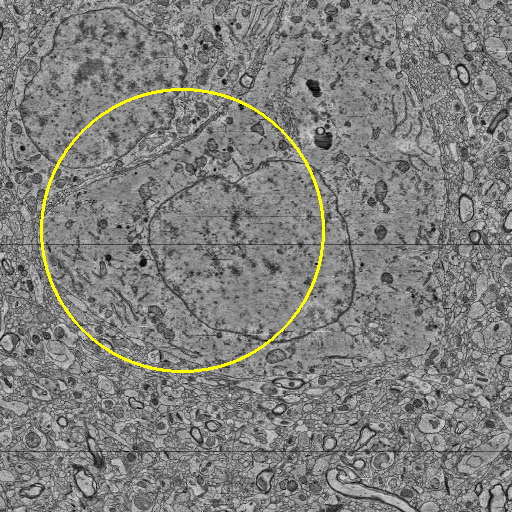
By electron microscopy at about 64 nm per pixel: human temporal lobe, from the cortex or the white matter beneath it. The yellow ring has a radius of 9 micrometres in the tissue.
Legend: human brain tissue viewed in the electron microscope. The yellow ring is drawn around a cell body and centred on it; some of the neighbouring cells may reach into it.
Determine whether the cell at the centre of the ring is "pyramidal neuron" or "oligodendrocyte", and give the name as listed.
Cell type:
pyramidal neuron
